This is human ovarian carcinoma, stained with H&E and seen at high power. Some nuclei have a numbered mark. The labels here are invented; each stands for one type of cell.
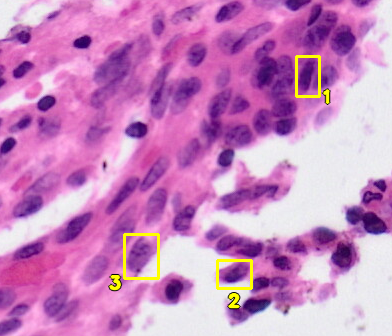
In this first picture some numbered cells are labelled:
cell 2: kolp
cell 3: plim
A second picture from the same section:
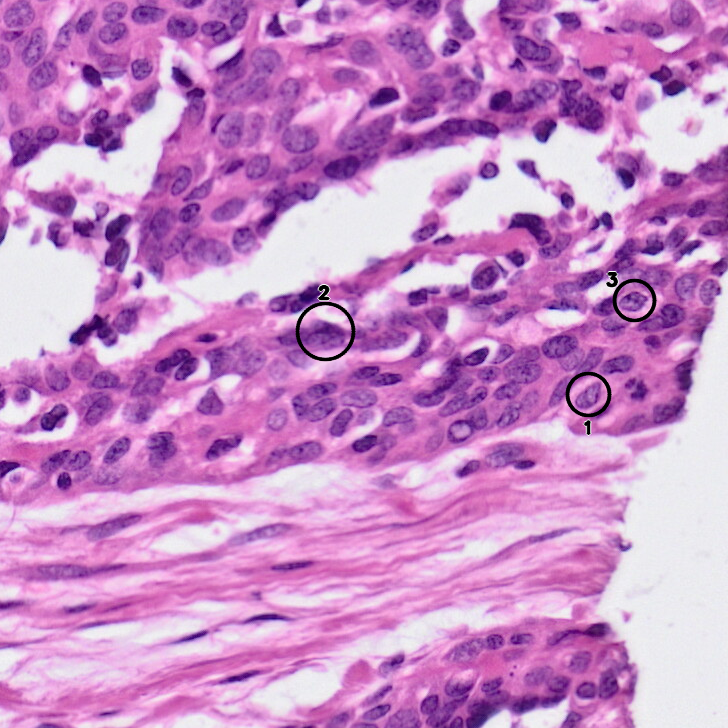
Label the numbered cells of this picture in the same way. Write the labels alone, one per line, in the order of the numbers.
plim
kolp
plim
